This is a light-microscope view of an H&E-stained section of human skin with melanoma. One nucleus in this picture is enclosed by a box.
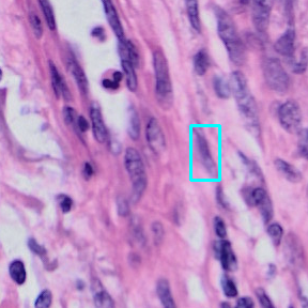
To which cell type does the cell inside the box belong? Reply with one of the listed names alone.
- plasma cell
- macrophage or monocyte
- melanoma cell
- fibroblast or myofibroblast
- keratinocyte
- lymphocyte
fibroblast or myofibroblast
